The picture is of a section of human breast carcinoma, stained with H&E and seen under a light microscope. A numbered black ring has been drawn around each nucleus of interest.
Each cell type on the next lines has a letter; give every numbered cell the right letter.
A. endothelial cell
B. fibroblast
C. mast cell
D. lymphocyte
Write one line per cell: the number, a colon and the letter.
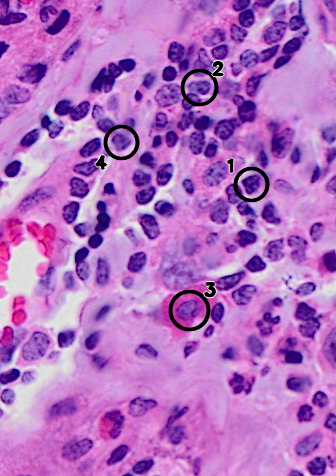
1: D
2: D
3: C
4: D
